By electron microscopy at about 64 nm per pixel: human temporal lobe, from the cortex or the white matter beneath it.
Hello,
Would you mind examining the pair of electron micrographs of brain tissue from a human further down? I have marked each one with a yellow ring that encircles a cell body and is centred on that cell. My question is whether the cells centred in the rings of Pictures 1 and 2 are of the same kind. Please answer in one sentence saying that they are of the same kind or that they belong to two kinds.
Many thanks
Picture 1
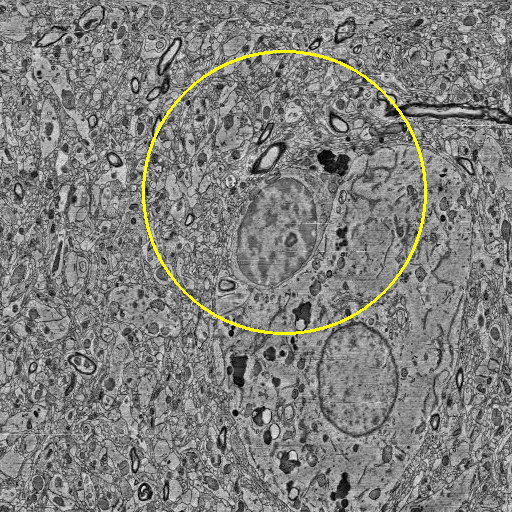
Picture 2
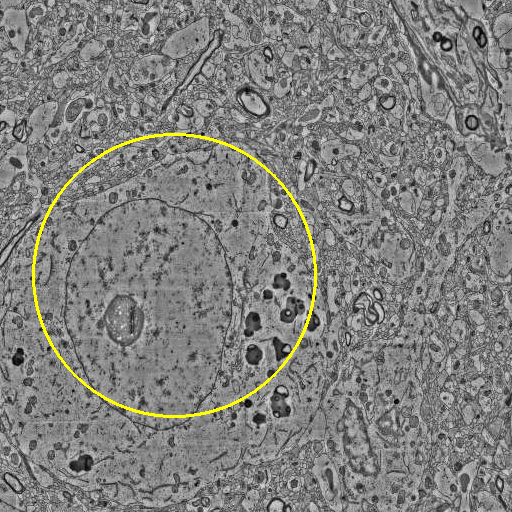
In Pictures 1 and 2, the cells at the heart of the rings belong to two kinds.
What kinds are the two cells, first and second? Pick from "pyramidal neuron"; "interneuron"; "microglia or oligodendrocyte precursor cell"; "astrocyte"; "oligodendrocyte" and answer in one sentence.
The second picture holds a pyramidal neuron in its ring, and the first holds an oligodendrocyte.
